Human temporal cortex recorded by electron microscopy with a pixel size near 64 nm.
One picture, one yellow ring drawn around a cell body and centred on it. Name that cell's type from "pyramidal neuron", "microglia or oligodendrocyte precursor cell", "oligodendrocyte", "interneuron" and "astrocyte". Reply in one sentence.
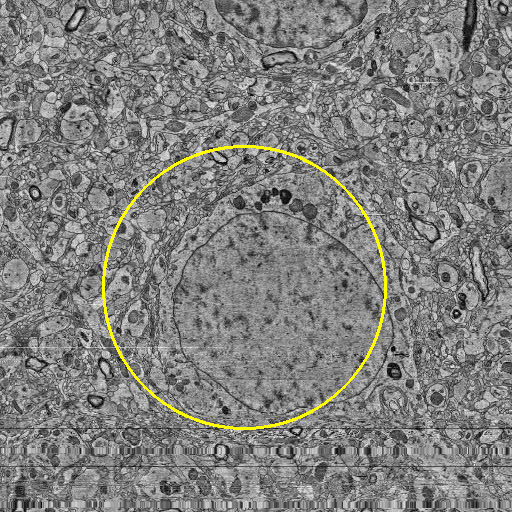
Centred in the ring is a pyramidal neuron.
